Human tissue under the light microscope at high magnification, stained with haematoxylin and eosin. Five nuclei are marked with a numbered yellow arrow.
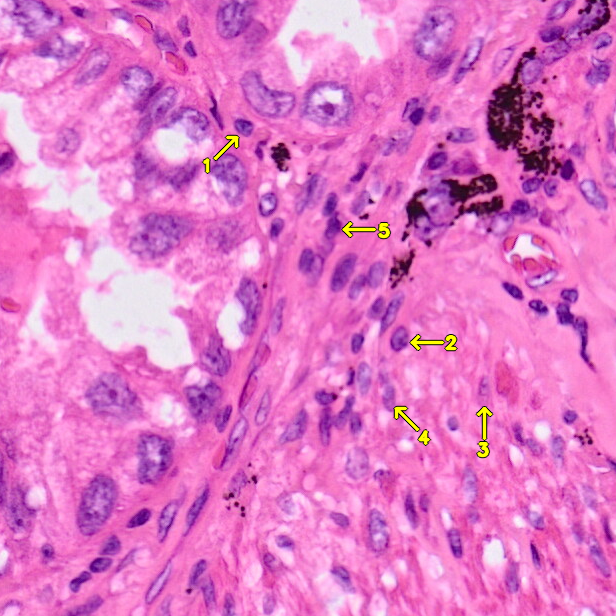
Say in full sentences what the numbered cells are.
Cell 1 is a lymphocyte, cell 2 is a mast cell, cell 3 is a smooth muscle cell or pericyte, cell 4 is a smooth muscle cell or pericyte and cell 5 is a plasma cell.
